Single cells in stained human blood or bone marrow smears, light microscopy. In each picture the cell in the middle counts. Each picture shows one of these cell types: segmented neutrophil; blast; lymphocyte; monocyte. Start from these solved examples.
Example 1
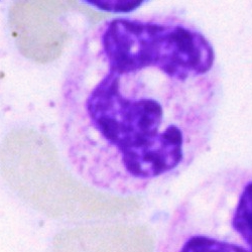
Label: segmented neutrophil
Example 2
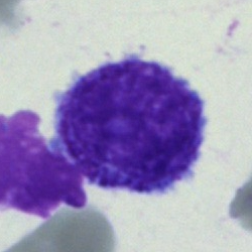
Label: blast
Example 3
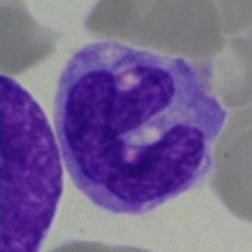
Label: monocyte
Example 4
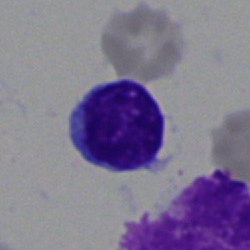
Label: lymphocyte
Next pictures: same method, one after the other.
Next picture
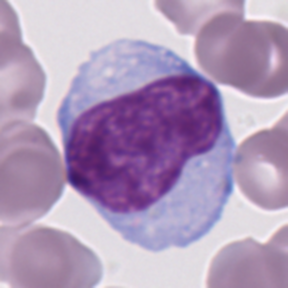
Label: blast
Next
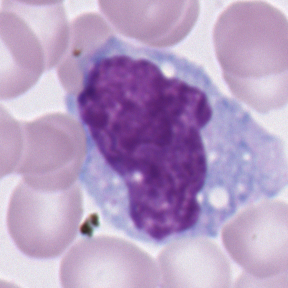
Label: monocyte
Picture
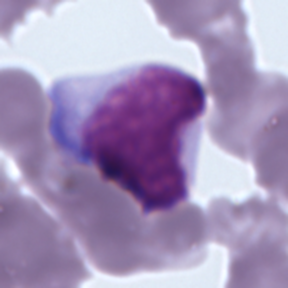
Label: blast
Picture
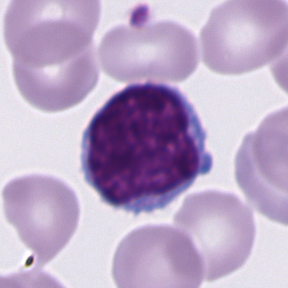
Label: lymphocyte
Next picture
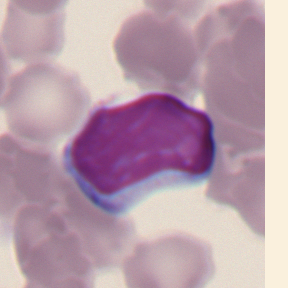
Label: lymphocyte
